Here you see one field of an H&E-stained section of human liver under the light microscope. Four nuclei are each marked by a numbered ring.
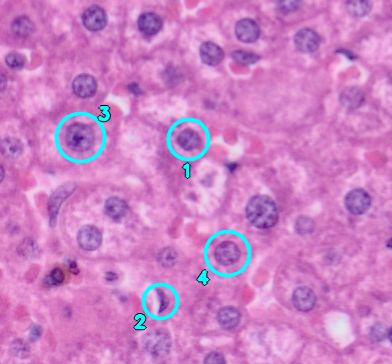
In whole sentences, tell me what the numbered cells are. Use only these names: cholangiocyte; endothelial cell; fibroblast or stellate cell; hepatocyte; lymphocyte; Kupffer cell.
Cells 1, 3 and 4 are hepatocytes. Cell 2 is an endothelial cell.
